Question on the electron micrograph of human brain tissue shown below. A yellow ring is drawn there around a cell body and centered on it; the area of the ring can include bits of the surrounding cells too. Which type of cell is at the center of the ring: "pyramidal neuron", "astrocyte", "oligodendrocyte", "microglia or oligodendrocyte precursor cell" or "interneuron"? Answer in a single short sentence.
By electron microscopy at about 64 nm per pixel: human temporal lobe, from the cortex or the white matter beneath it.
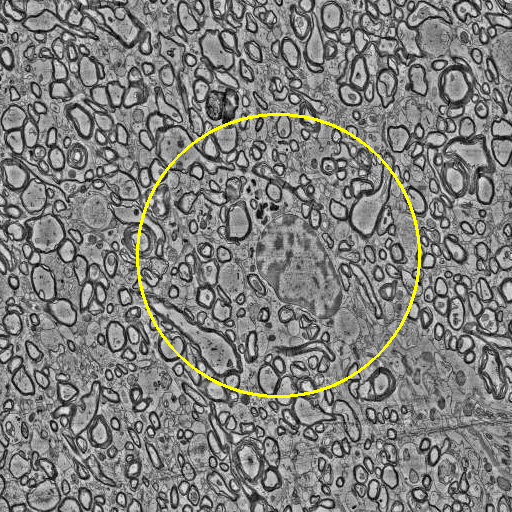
The ring is centered on a microglial cell or oligodendrocyte precursor cell.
